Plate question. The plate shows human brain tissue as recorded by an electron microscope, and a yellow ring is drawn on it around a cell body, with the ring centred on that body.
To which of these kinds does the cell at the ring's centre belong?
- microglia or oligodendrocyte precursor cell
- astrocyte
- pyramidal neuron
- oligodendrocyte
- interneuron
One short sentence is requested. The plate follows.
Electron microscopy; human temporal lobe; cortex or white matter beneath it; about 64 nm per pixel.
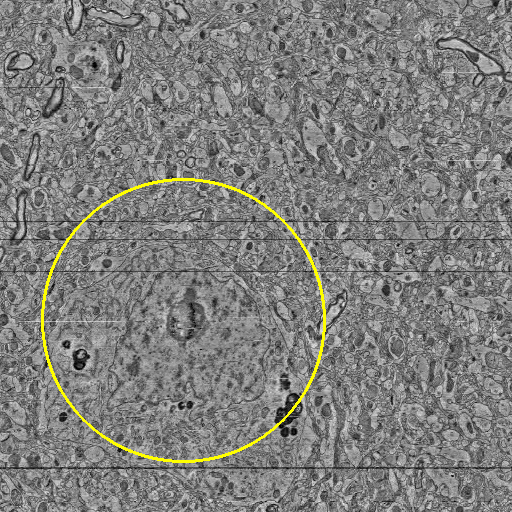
The cell at the ring's centre is an interneuron.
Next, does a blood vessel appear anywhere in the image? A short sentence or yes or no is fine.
No, there is no blood vessel.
